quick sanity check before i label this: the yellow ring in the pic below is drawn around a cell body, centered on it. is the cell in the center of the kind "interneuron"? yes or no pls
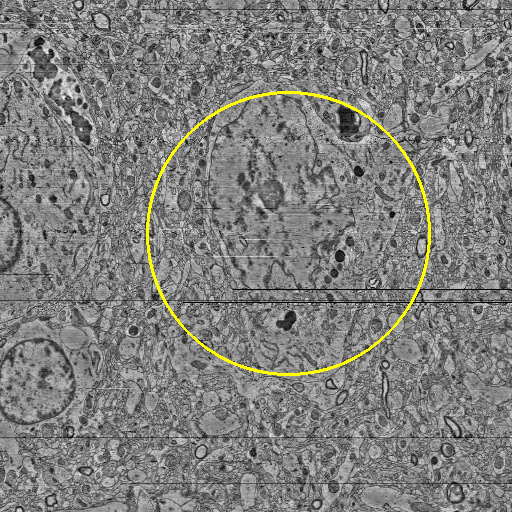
yes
